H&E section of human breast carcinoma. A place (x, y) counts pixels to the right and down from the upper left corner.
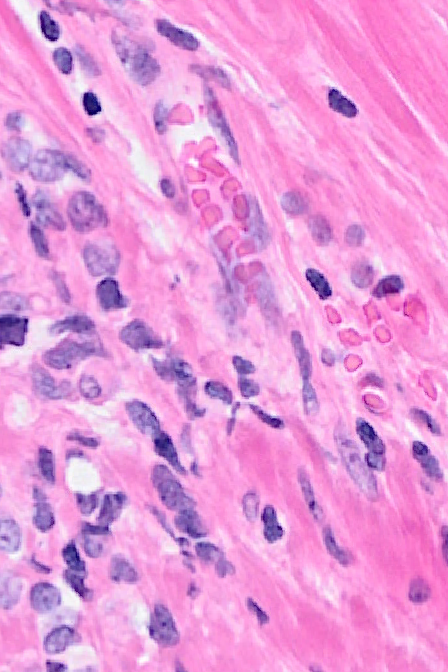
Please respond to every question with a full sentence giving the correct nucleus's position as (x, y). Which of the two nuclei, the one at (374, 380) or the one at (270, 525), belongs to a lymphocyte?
Rather than the other nucleus, the one at (270, 525) belongs to a lymphocyte.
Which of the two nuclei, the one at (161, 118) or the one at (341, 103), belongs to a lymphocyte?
Between the pair, the nucleus at (341, 103) belongs to a lymphocyte.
